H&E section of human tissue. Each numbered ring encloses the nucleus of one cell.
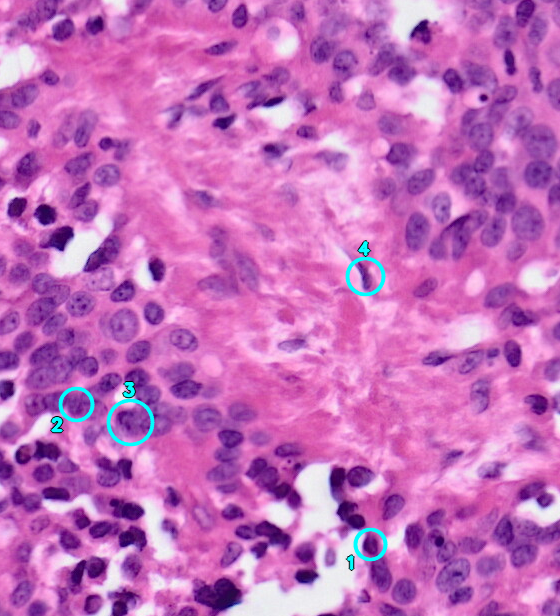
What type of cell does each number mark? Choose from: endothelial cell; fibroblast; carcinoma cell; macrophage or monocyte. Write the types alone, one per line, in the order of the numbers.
carcinoma cell
carcinoma cell
carcinoma cell
fibroblast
